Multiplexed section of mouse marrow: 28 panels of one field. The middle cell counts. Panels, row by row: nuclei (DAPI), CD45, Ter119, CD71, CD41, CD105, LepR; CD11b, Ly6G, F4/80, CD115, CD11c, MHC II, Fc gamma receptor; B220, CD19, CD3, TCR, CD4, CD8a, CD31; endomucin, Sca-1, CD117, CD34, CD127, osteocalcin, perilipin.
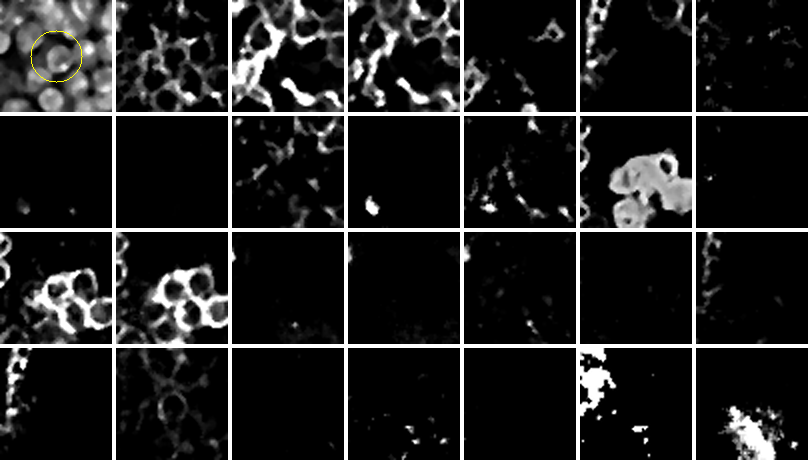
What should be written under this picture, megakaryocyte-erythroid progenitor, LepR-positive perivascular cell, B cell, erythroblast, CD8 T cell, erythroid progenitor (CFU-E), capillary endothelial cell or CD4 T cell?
B cell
